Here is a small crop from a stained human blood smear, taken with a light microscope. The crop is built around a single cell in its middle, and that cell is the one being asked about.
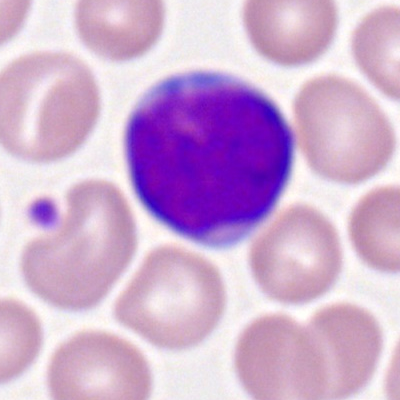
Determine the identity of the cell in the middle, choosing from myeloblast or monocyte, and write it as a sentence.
Of the cells in this crop, the central one is a myeloblast.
